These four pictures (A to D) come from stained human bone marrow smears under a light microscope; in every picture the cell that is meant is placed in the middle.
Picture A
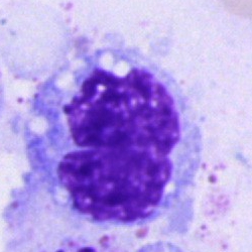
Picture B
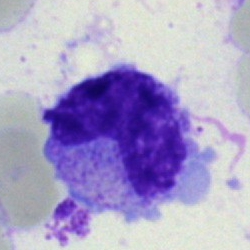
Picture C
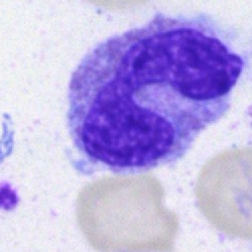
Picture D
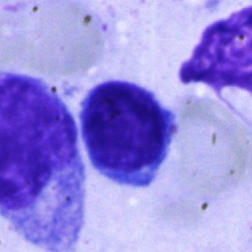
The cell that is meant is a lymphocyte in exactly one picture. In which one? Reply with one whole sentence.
Picture D shows the lymphocyte.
